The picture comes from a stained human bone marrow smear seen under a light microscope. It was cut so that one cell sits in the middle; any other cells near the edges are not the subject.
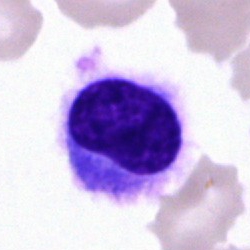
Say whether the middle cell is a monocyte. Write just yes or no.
no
